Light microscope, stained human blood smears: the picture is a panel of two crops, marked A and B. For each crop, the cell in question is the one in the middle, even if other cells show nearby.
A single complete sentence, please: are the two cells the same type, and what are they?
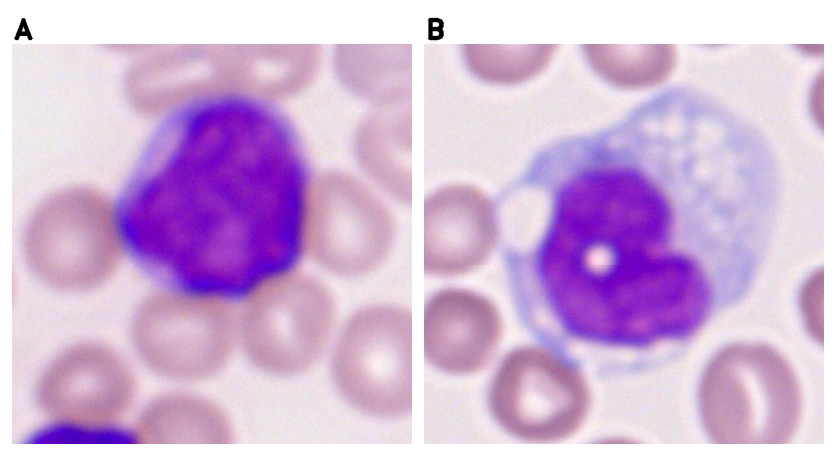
No, crop A has a myeloblast in the middle, and crop B has a monocyte.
